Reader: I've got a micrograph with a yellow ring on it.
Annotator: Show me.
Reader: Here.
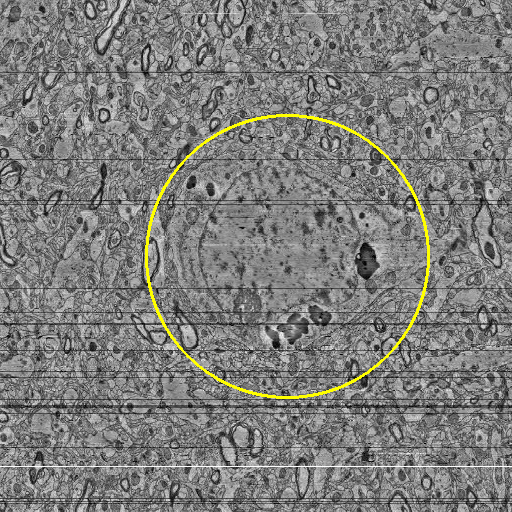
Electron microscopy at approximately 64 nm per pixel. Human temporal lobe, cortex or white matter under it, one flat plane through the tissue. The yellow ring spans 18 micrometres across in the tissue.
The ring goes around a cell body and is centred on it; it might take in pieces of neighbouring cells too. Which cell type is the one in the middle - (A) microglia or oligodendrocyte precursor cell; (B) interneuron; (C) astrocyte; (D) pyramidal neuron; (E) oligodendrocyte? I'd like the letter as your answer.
B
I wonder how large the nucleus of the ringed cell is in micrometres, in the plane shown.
In this plane, the nucleus of the cell at the centre of the ring is about 10 micrometres across.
